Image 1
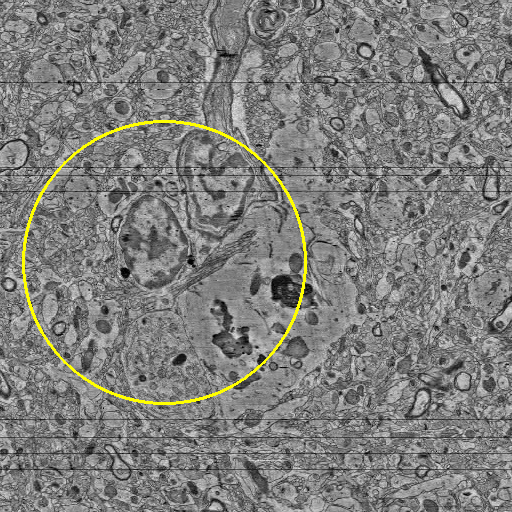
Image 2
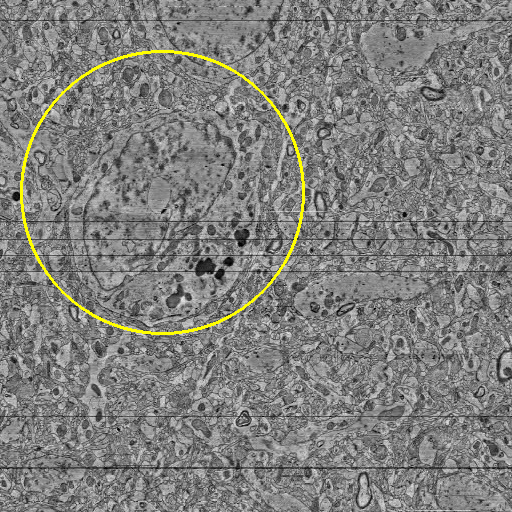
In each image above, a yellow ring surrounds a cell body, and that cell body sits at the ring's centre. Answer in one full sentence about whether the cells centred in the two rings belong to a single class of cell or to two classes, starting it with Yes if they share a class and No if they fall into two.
No, the cells centred in the two yellow rings belong to two classes of cell.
